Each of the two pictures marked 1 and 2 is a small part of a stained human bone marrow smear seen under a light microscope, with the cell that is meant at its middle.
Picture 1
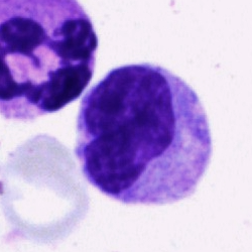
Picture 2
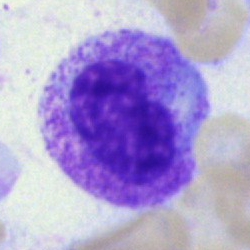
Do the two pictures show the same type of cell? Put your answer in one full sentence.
Yes; the cells in both pictures are metamyelocytes.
